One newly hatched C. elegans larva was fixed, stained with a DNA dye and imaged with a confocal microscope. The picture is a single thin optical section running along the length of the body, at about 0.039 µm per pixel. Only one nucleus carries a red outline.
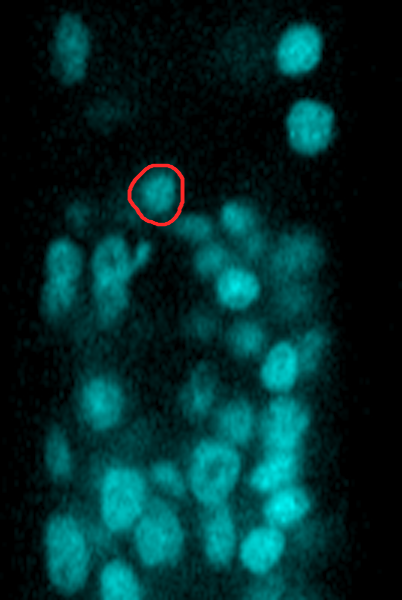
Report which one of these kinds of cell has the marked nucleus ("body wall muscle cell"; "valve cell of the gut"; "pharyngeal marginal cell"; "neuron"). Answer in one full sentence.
The nucleus comes from a valve cell of the gut.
